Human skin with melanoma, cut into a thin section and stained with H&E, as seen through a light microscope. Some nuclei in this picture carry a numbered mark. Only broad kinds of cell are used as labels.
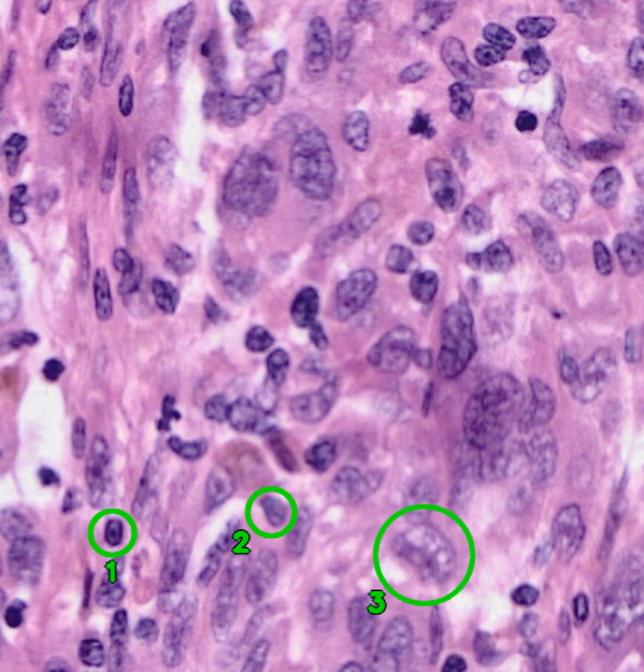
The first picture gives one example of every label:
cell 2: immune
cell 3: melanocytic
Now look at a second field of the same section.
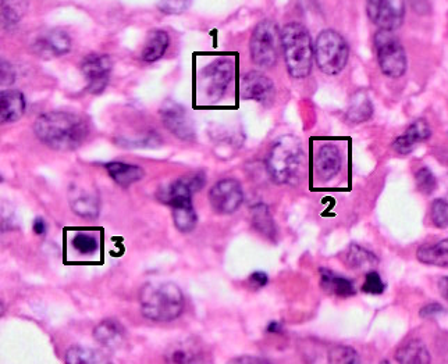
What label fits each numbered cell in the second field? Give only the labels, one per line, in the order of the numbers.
melanocytic
melanocytic
immune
